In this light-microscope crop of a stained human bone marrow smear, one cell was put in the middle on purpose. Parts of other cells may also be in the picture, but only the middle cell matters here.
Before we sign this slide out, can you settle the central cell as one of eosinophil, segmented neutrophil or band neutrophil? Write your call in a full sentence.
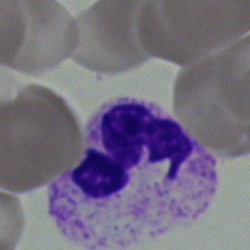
Positioned in the middle of the crop is a segmented neutrophil.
